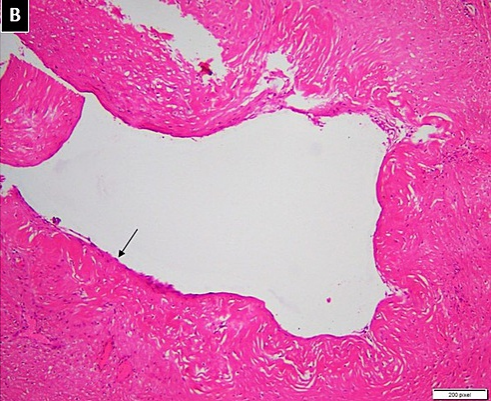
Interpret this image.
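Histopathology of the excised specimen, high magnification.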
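A large empty cavity is bordered by dense, deep pink fibrous tissue made of tightly packed, wavy collagen bundles. This is the dense collagenous wall of a cyst, and its inner surface has no true lining of epithelial cells. Only scattered small, thin nuclei lie among the fibres, and none of them look enlarged or irregular.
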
